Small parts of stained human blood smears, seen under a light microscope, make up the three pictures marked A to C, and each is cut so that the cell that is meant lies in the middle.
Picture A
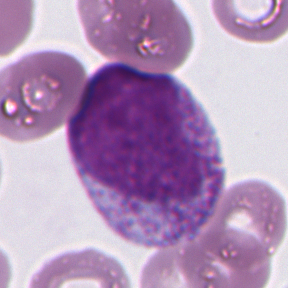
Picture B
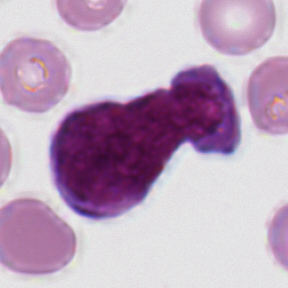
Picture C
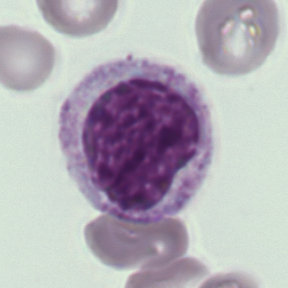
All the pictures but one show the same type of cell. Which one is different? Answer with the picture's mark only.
B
